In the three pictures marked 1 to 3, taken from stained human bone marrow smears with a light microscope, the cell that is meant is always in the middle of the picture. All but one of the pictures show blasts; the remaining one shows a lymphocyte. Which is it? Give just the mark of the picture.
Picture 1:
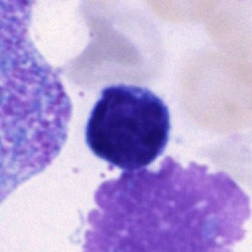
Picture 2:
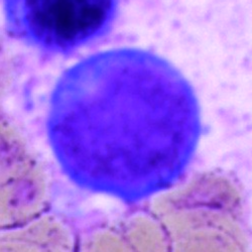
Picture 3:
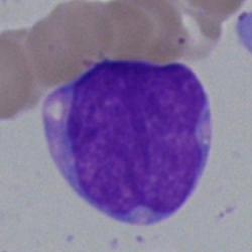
1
